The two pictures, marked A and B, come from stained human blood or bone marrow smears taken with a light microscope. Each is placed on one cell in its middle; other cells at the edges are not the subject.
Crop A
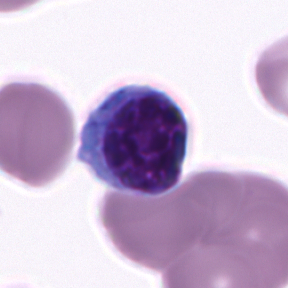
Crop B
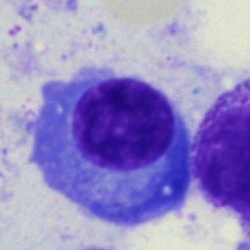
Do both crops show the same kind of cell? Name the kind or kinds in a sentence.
Yes, it is plasma cells that sit at the centre of both crops.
